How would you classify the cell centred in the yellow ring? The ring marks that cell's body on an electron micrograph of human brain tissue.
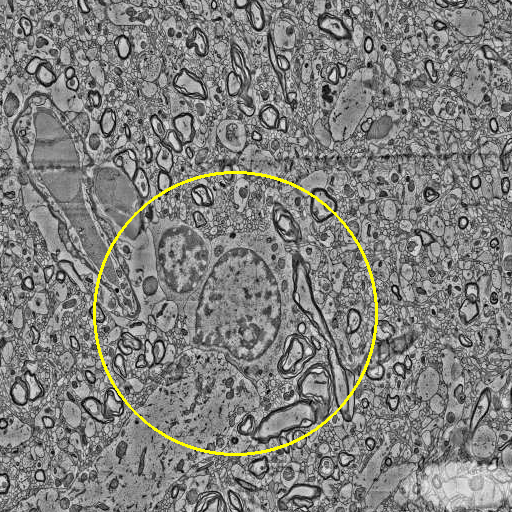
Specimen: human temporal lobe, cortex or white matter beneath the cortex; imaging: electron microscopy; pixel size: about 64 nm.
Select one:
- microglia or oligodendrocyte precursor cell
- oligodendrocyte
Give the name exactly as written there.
oligodendrocyte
